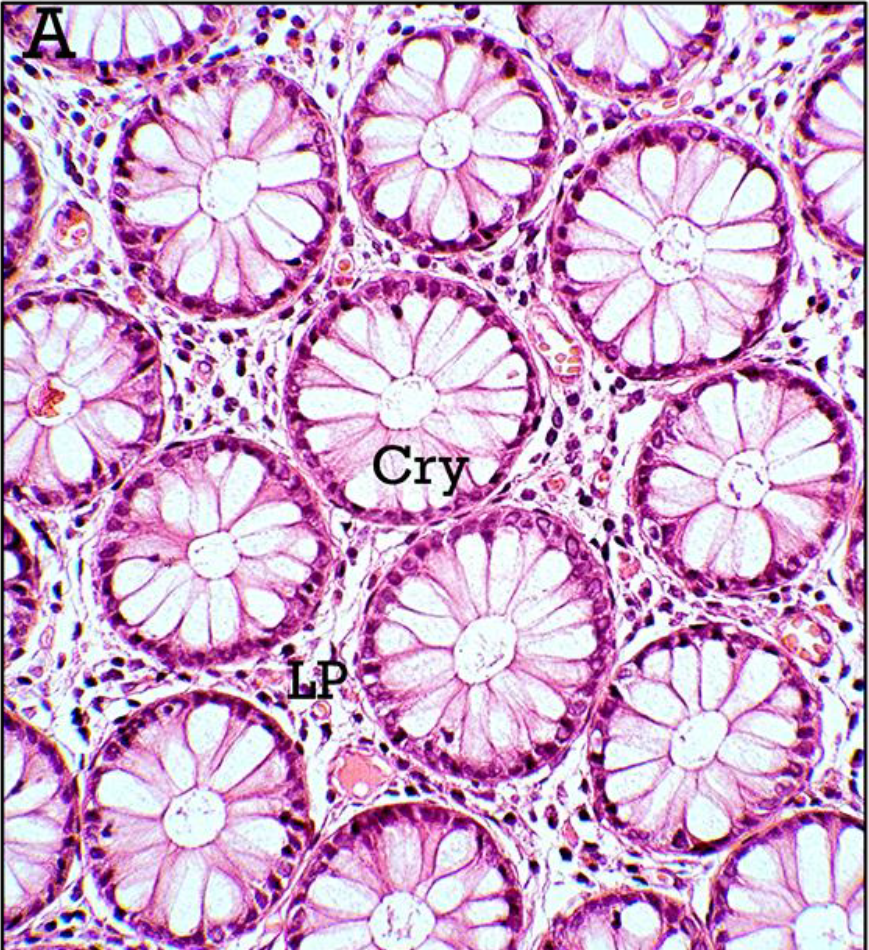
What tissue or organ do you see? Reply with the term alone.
Colonic mucosa.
